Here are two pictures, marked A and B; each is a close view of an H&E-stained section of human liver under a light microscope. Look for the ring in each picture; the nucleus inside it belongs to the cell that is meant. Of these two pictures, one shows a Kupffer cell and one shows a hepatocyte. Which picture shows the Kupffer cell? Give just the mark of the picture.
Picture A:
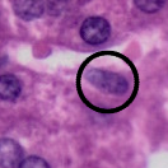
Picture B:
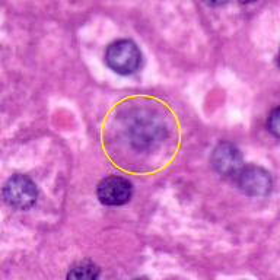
A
